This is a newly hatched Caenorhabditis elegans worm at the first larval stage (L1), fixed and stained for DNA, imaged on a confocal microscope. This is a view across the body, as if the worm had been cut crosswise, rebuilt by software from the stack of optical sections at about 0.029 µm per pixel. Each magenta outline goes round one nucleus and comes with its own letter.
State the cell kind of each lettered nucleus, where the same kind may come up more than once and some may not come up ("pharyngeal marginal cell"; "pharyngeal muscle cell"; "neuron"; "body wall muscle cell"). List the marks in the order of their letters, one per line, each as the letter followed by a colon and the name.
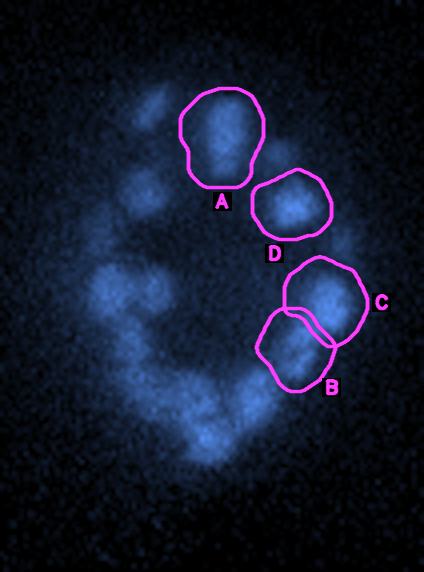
A: pharyngeal muscle cell
B: body wall muscle cell
C: neuron
D: pharyngeal marginal cell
